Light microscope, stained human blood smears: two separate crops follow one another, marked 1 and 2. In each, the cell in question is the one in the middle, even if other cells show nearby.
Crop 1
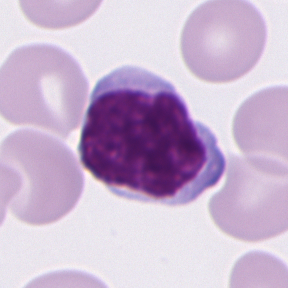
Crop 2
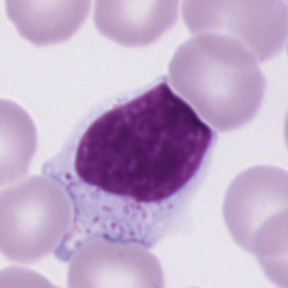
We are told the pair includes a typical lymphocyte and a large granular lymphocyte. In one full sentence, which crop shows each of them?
In this set, crop 1 shows a typical lymphocyte and crop 2 shows a large granular lymphocyte.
